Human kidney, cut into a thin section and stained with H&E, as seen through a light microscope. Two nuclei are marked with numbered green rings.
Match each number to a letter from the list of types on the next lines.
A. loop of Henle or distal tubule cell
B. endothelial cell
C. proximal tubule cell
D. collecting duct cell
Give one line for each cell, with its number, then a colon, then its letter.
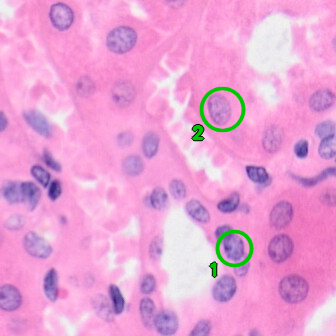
1: D
2: C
